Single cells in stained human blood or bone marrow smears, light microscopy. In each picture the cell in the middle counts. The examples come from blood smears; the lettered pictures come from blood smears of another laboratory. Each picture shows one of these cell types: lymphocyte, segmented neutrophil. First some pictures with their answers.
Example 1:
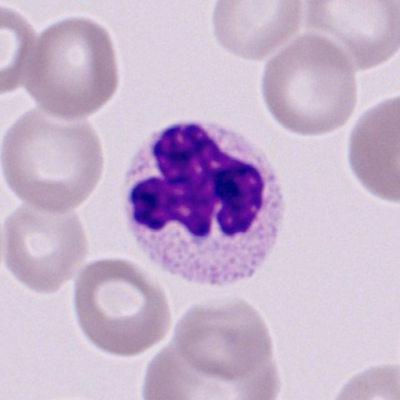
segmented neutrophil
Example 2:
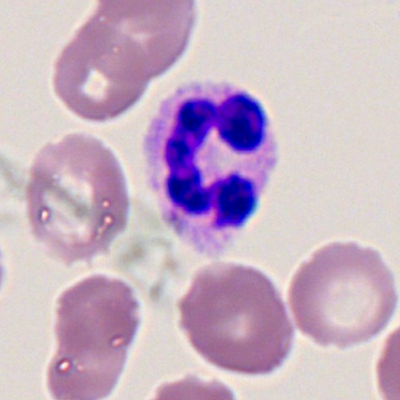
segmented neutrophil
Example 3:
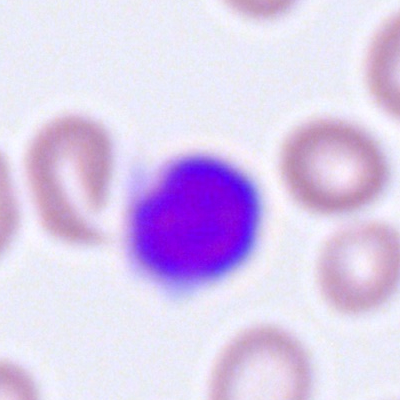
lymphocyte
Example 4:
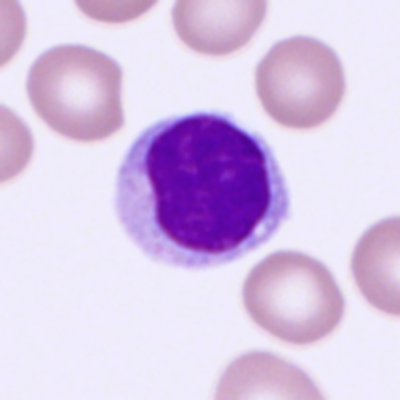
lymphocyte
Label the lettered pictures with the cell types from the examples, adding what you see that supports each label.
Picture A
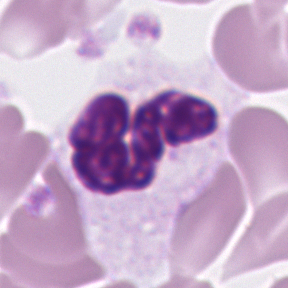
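segmented neutrophil. The nucleus forms two main dark masses lying side by side, the left one larger than the right.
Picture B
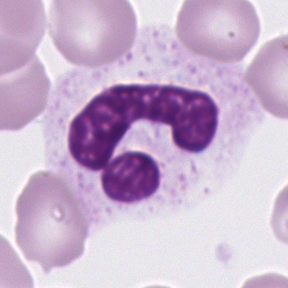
segmented neutrophil. The cytoplasm is abundant and pale pinkish-lilac.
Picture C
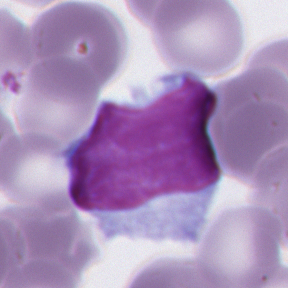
lymphocyte. The nucleus is a single unlobed mass that fills most of the cell.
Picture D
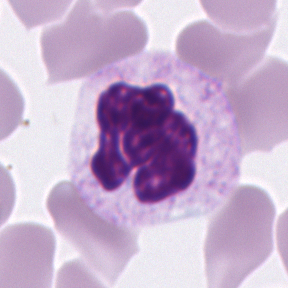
segmented neutrophil. A wide rim of pale pinkish-lilac cytoplasm surrounds the nucleus.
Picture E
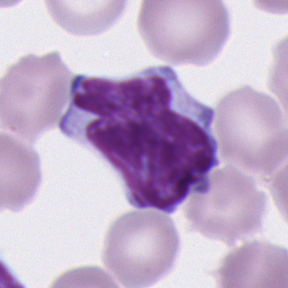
lymphocyte. The nucleus fills most of the cell.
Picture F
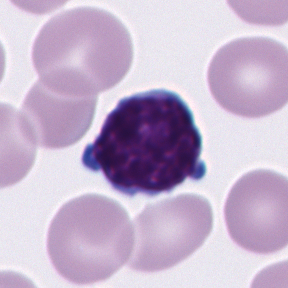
lymphocyte. Cytoplasm shows only as a very thin rim at the cell edge.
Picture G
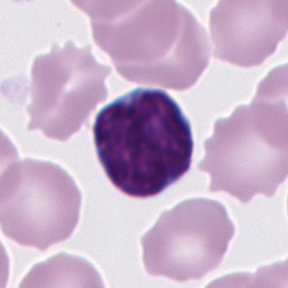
lymphocyte. The cytoplasm shows only as a very thin rim at the edge of the cell.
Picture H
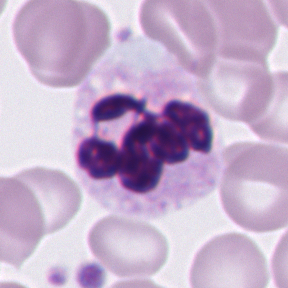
segmented neutrophil. The cytoplasm is abundant and pale lilac-pink.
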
